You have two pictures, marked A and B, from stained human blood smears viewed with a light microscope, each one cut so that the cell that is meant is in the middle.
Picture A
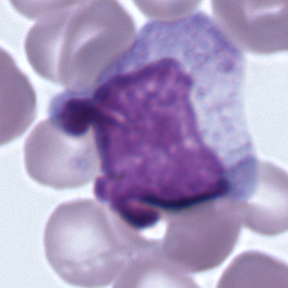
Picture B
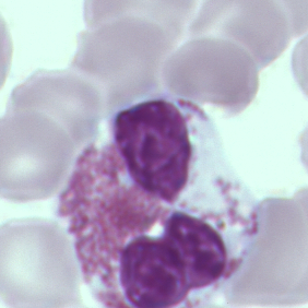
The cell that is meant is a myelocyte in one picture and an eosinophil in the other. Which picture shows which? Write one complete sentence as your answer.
Picture A shows a myelocyte and picture B shows an eosinophil.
